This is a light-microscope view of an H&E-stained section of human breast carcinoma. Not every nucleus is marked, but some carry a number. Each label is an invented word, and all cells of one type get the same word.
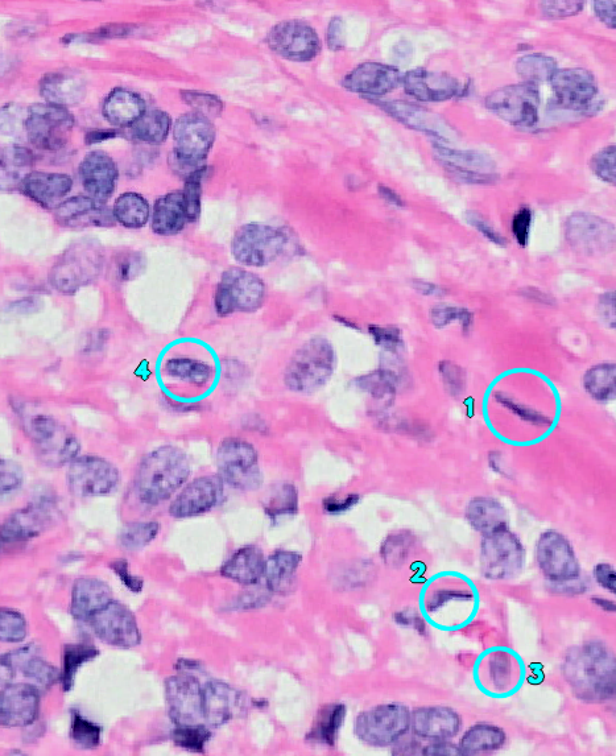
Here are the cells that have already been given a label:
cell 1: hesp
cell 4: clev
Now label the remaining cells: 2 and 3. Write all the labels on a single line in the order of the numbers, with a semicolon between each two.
clev; clev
